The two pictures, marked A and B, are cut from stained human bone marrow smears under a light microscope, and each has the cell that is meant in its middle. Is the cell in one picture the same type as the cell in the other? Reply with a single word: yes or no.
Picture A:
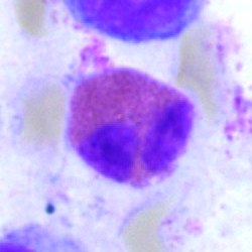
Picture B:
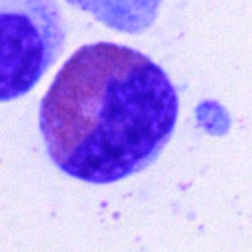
yes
